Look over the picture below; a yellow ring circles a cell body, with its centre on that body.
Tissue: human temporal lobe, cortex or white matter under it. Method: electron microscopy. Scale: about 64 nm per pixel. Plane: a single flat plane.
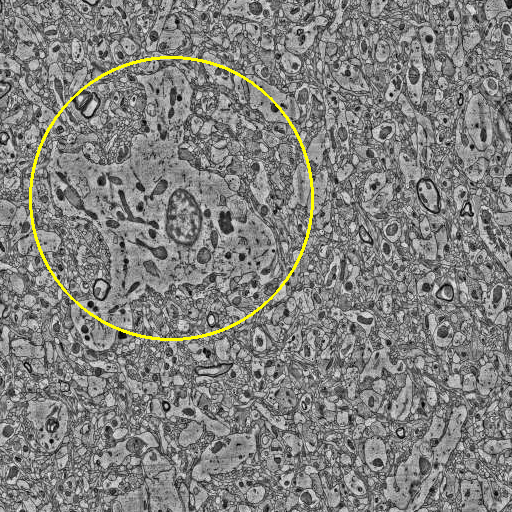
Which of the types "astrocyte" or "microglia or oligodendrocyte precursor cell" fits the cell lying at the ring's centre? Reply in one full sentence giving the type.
The picture shows an astrocyte at the centre of the yellow ring.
